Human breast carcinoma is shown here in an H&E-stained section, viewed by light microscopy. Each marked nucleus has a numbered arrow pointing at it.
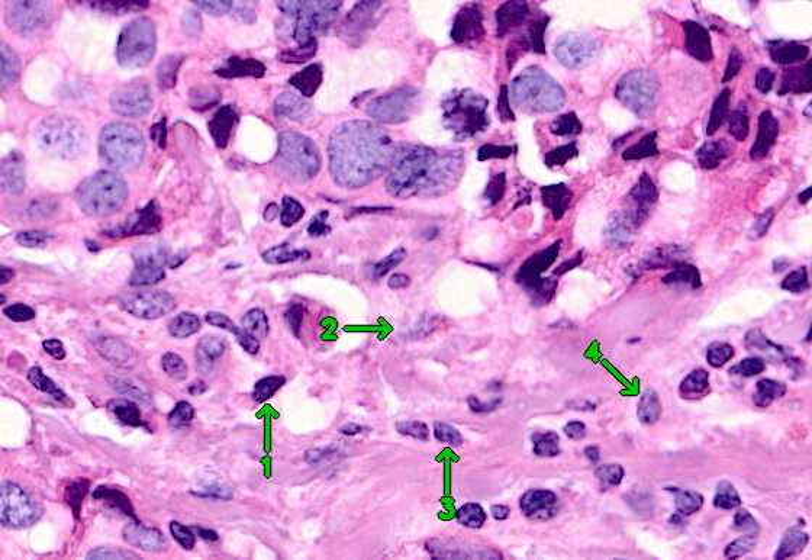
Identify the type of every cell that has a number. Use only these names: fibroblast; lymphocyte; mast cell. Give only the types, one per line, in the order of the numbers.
lymphocyte
fibroblast
lymphocyte
mast cell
